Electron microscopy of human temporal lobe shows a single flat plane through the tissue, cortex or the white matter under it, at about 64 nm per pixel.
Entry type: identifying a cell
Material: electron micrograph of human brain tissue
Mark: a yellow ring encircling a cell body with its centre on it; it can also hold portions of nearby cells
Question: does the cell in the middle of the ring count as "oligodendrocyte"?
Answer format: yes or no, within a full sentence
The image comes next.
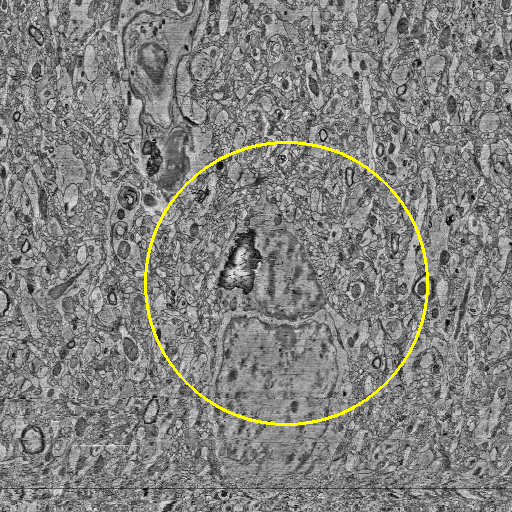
Yes, in the image, the cell in the middle of the yellow ring counts as the queried kind.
